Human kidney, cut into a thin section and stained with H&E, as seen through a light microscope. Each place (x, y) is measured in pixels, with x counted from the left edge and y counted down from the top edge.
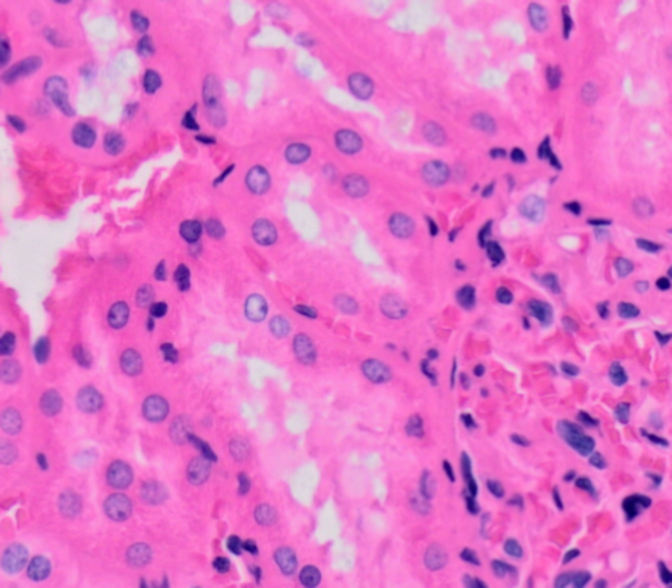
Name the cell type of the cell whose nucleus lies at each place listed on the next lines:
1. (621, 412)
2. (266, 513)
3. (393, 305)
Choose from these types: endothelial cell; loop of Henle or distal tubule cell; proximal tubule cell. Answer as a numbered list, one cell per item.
1. endothelial cell
2. proximal tubule cell
3. proximal tubule cell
